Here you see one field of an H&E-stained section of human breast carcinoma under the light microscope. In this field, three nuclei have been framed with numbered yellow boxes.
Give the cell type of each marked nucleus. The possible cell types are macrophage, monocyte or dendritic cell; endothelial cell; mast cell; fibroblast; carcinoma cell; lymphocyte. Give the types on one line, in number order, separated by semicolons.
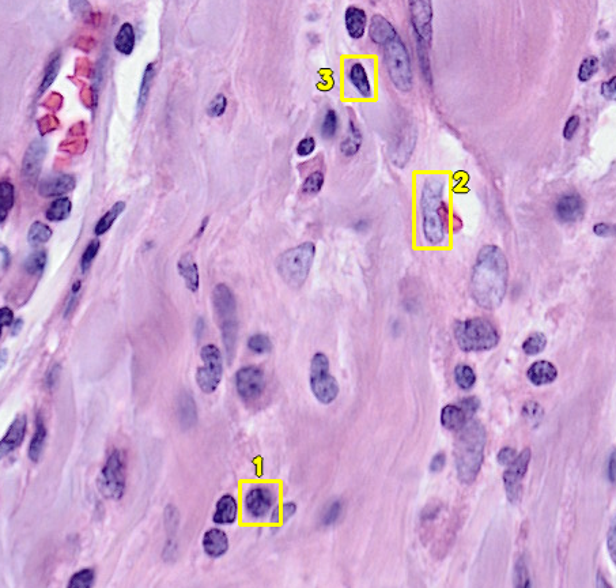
lymphocyte; endothelial cell; lymphocyte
